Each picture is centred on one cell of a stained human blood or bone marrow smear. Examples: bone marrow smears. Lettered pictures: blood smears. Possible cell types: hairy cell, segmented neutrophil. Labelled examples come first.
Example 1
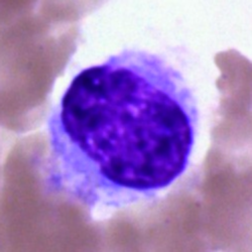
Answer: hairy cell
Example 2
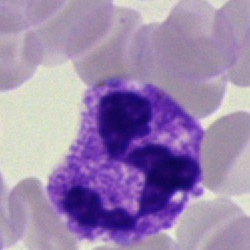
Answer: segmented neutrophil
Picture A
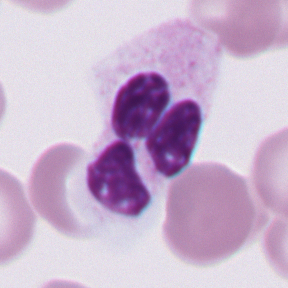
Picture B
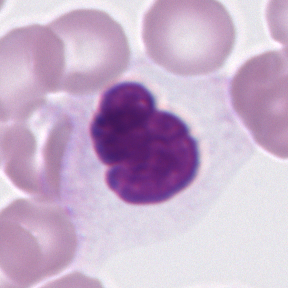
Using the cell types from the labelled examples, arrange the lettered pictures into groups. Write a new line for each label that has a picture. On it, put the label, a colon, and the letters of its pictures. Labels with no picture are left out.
segmented neutrophil: A, B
